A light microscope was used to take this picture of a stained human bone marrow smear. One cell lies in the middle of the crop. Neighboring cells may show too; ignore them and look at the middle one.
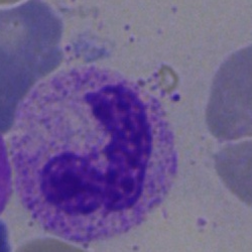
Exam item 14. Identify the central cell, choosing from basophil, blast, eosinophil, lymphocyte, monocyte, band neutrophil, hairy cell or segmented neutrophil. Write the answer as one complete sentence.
The cell found in the middle of this crop is a segmented neutrophil.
